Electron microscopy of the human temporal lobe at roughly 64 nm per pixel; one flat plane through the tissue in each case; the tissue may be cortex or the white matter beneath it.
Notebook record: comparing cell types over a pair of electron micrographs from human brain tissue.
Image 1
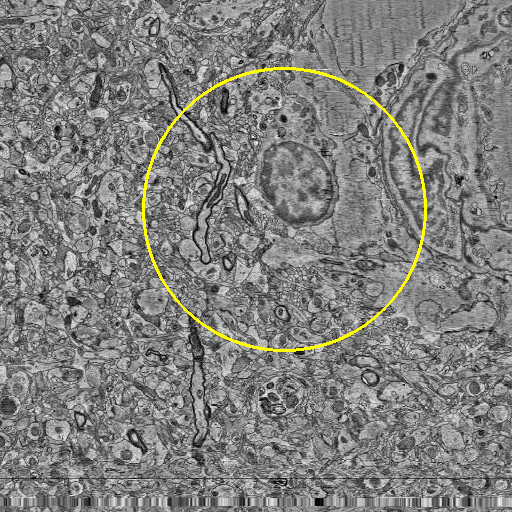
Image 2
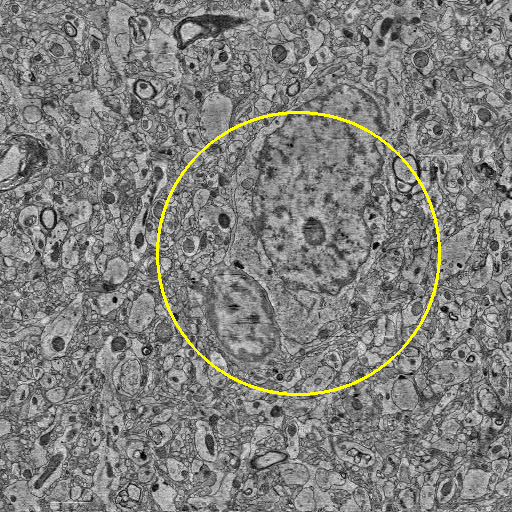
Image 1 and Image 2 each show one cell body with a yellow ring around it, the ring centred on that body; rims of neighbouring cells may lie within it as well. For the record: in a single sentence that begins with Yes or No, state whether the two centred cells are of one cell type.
No, two cell types are found among the centred cells of Image 1 and Image 2.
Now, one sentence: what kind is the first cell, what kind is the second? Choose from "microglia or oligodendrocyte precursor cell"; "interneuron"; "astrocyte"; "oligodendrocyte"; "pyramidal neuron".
The first picture has an oligodendrocyte at its ring centre, and the second has an interneuron.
